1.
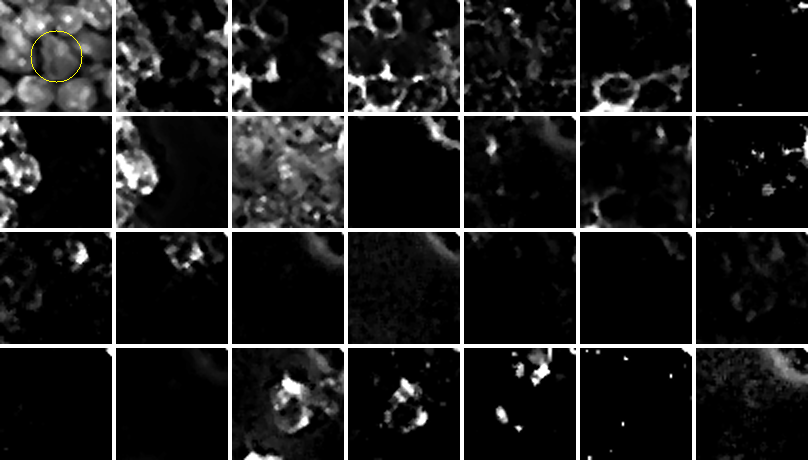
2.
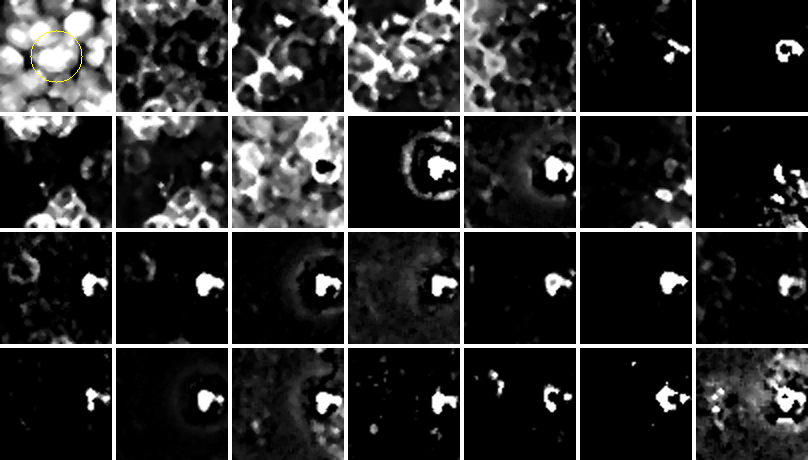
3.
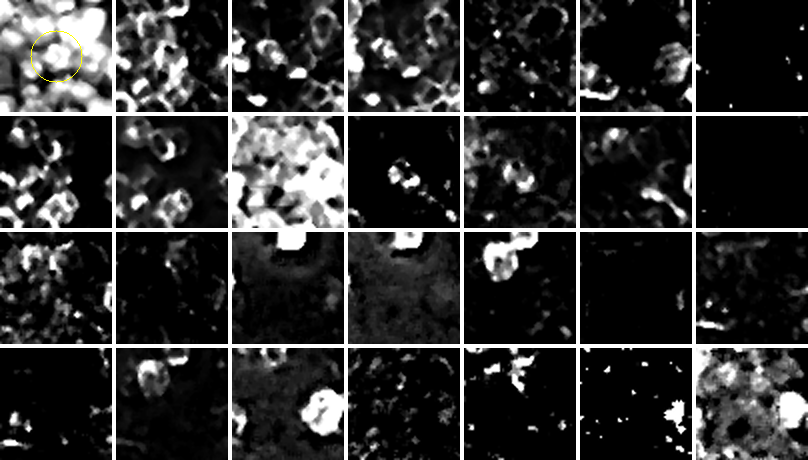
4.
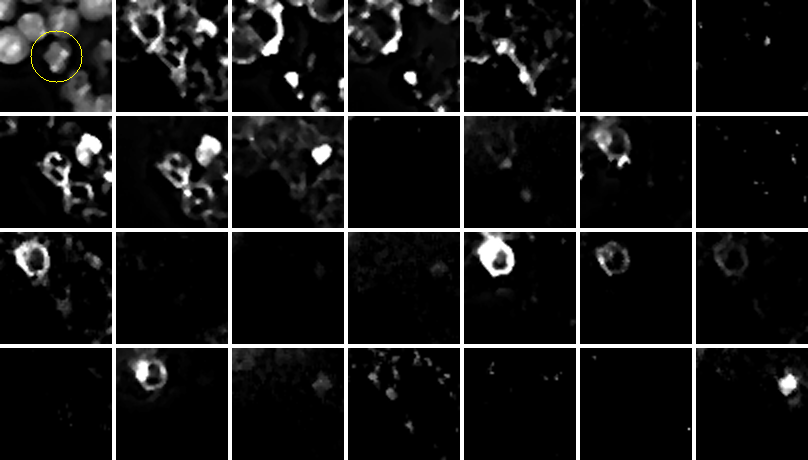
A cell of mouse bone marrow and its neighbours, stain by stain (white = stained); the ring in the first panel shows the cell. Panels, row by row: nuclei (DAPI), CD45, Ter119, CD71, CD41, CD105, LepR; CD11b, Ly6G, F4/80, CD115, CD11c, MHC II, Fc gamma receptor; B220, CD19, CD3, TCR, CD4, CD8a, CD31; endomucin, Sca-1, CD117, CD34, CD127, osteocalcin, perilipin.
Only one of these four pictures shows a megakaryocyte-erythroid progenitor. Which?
Picture 1.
